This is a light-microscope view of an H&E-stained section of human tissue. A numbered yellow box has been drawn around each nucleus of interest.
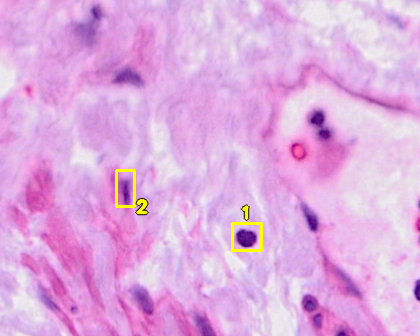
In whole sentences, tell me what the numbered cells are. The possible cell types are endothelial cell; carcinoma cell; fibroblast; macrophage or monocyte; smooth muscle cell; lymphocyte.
Cell 1 is a lymphocyte and cell 2 is a smooth muscle cell.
